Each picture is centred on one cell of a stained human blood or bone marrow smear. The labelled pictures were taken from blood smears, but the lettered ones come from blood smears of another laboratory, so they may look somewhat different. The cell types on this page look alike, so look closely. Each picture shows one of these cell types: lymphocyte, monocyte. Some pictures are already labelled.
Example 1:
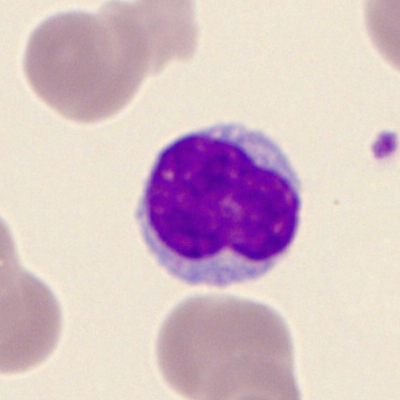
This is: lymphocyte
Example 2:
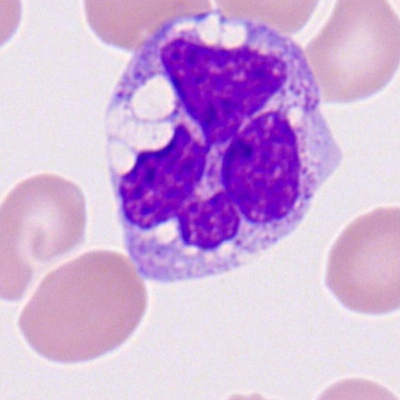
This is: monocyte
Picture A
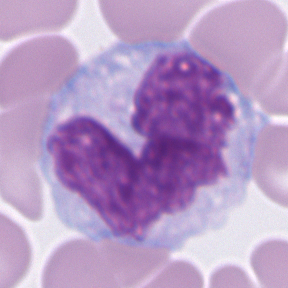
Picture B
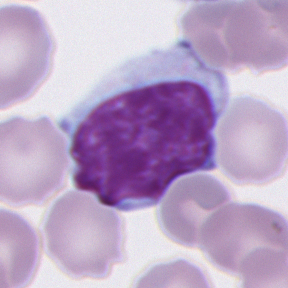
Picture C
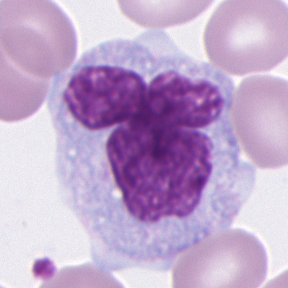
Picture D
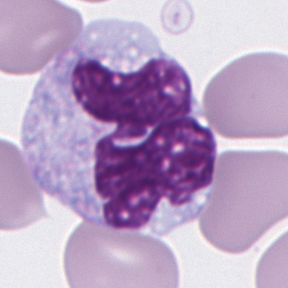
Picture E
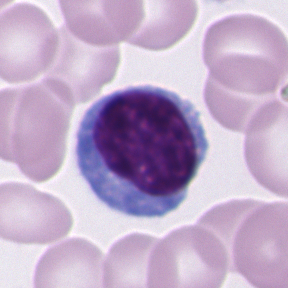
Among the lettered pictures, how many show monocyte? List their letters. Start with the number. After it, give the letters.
Count: 3 (A, C, D)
